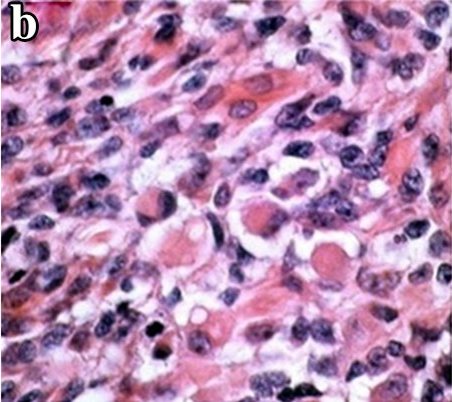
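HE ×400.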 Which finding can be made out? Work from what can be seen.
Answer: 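Several cells have abundant, dense, bright pink cytoplasm. Some of these cells are round to strap-like with eccentric nuclei. They lie among pale, loose, vacuolated stroma.
Answer: rhabdomyoblastic differentiation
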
